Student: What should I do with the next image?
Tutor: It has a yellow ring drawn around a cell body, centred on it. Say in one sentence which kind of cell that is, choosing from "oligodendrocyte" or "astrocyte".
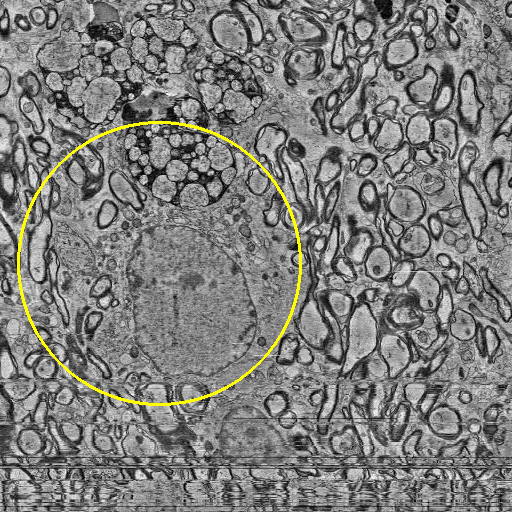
The ring's centre is occupied by an astrocyte.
